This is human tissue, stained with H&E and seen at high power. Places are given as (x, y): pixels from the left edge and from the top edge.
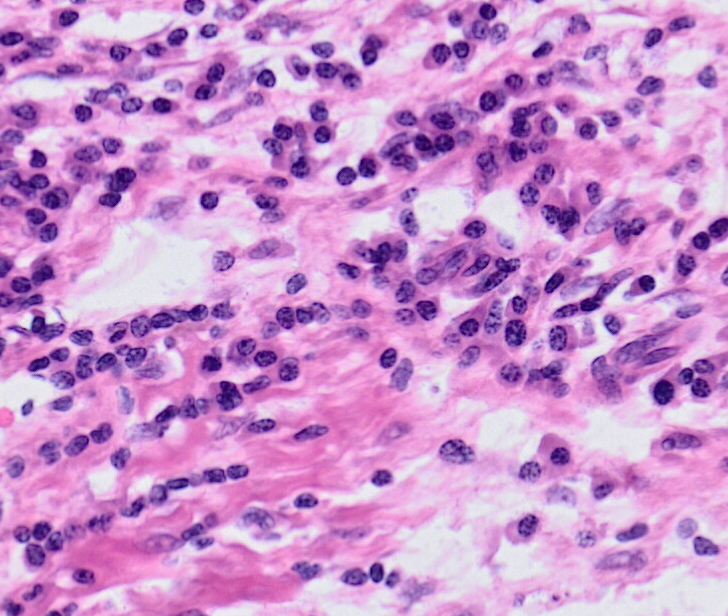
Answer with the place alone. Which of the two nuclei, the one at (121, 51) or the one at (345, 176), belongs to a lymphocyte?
(345, 176)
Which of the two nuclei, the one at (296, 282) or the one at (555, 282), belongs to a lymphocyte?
(296, 282)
